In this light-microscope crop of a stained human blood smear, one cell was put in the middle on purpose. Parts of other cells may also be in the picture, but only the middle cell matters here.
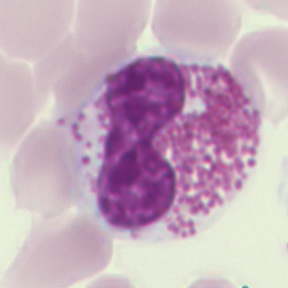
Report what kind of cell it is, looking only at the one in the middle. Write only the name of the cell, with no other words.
eosinophil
